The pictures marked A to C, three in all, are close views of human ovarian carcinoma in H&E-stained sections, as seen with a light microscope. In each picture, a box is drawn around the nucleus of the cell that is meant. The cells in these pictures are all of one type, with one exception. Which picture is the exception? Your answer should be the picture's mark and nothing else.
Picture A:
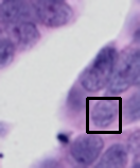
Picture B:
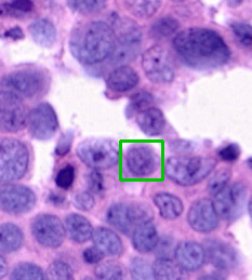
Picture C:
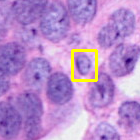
C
